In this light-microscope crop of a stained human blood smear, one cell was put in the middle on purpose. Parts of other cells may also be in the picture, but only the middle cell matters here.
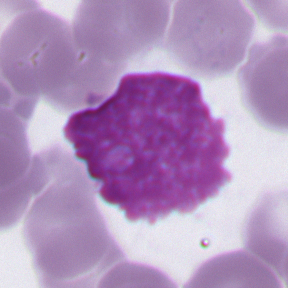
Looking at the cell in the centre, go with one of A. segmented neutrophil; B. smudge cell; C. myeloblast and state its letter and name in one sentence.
Option B stands as correct, the central cell being a smudge cell.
